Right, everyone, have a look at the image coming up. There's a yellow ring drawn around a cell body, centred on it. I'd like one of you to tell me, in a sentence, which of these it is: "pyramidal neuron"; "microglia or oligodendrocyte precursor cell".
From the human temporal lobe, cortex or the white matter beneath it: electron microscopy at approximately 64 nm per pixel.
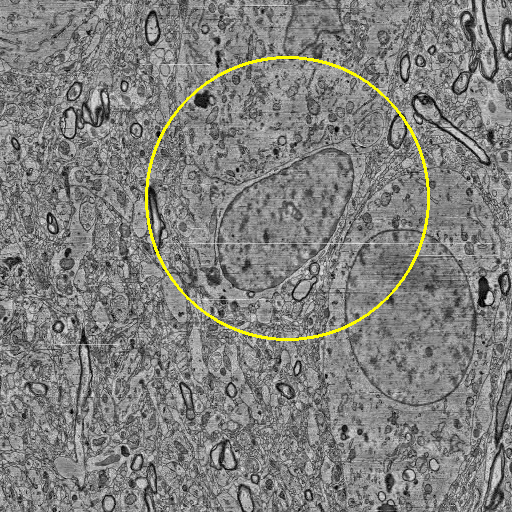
The yellow ring sits on a microglial cell or oligodendrocyte precursor cell.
